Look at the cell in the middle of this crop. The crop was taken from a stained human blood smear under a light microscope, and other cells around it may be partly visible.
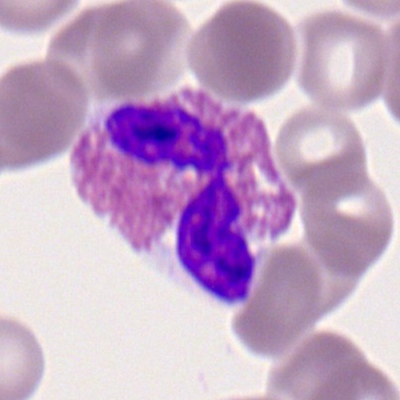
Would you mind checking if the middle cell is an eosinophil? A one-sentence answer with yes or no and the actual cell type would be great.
Yes, the cell shown centrally is an eosinophil.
